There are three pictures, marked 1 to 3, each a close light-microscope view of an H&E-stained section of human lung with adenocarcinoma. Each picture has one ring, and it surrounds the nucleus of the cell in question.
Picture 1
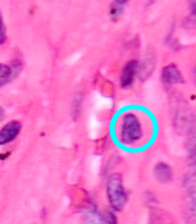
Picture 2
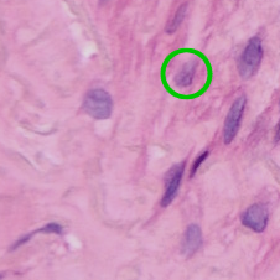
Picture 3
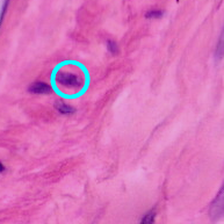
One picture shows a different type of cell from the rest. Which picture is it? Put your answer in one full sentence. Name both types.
Unlike the rest, which show “smooth muscle cells or pericytes”, picture 1 shows a lymphocyte.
